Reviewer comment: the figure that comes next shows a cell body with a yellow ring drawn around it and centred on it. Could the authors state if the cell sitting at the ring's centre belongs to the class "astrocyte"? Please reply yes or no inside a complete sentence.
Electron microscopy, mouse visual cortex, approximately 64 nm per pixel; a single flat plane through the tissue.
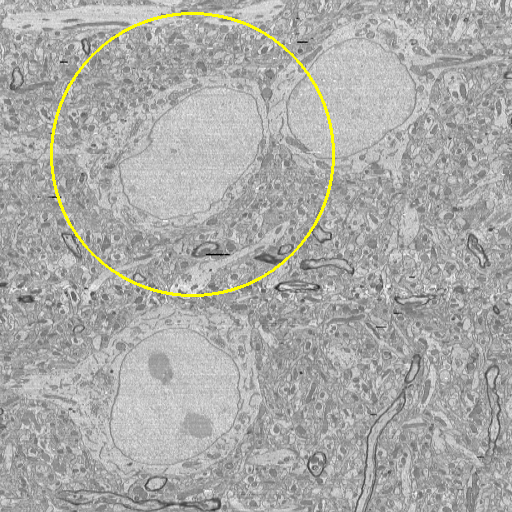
No, in the figure, the cell at the ring's centre belongs to a different class.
